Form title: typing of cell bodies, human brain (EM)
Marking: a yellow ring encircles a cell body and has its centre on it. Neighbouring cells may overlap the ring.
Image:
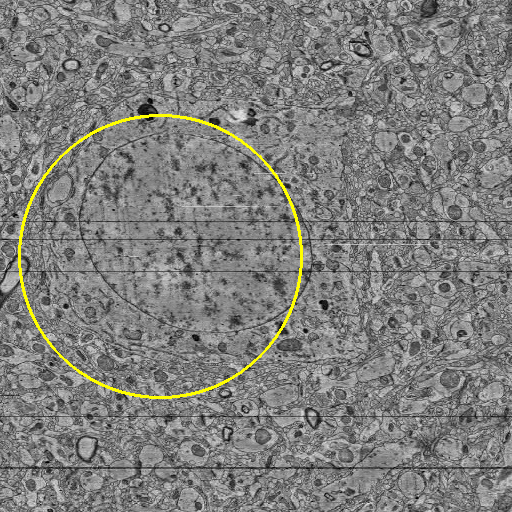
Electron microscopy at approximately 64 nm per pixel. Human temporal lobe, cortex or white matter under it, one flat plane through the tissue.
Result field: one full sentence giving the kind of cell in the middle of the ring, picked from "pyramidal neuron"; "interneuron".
In the picture, the ring is centred on a pyramidal neuron, whose cell body it encircles.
